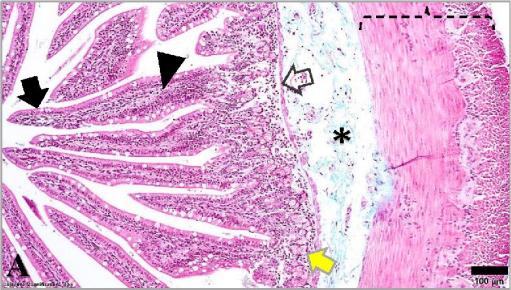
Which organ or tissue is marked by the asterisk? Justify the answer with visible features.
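Submucosa. This layer lies between the mucosa with its villi and a thick pink muscle layer.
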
